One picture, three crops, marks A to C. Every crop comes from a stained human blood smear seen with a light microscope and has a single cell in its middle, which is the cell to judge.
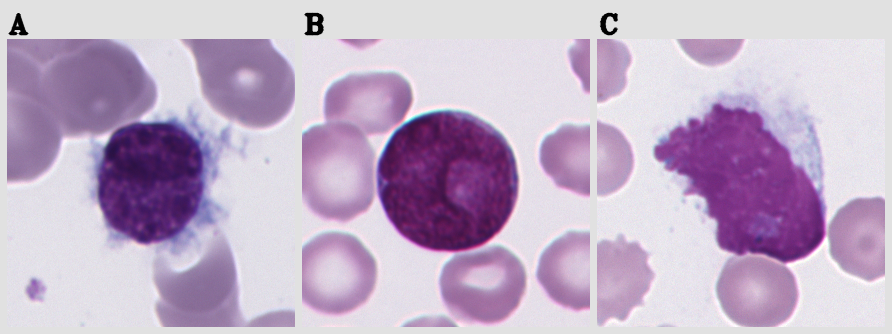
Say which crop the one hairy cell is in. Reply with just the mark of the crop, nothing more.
A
